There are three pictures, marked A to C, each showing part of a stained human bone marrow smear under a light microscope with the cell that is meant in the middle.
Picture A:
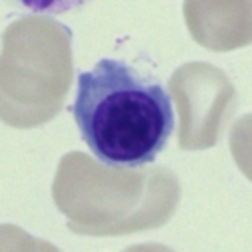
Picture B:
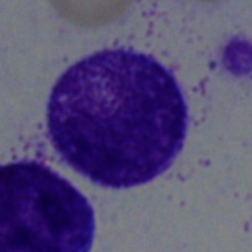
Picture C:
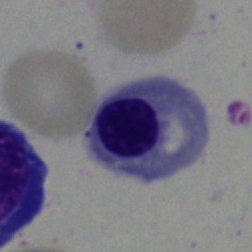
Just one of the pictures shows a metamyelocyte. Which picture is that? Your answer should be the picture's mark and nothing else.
B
